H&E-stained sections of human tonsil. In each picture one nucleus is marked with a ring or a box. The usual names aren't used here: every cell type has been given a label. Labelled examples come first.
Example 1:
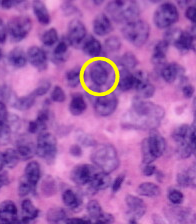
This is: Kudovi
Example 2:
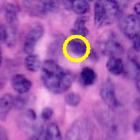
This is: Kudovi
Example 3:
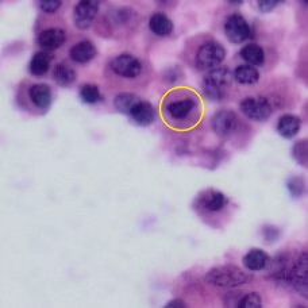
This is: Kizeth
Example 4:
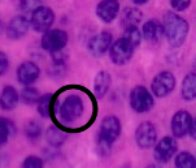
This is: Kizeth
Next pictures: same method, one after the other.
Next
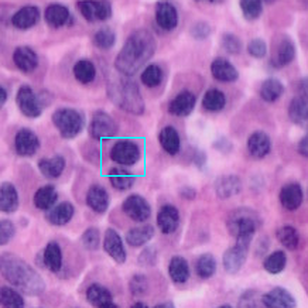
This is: Kizeth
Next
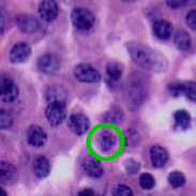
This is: Kizeth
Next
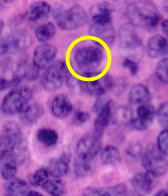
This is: Kudovi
